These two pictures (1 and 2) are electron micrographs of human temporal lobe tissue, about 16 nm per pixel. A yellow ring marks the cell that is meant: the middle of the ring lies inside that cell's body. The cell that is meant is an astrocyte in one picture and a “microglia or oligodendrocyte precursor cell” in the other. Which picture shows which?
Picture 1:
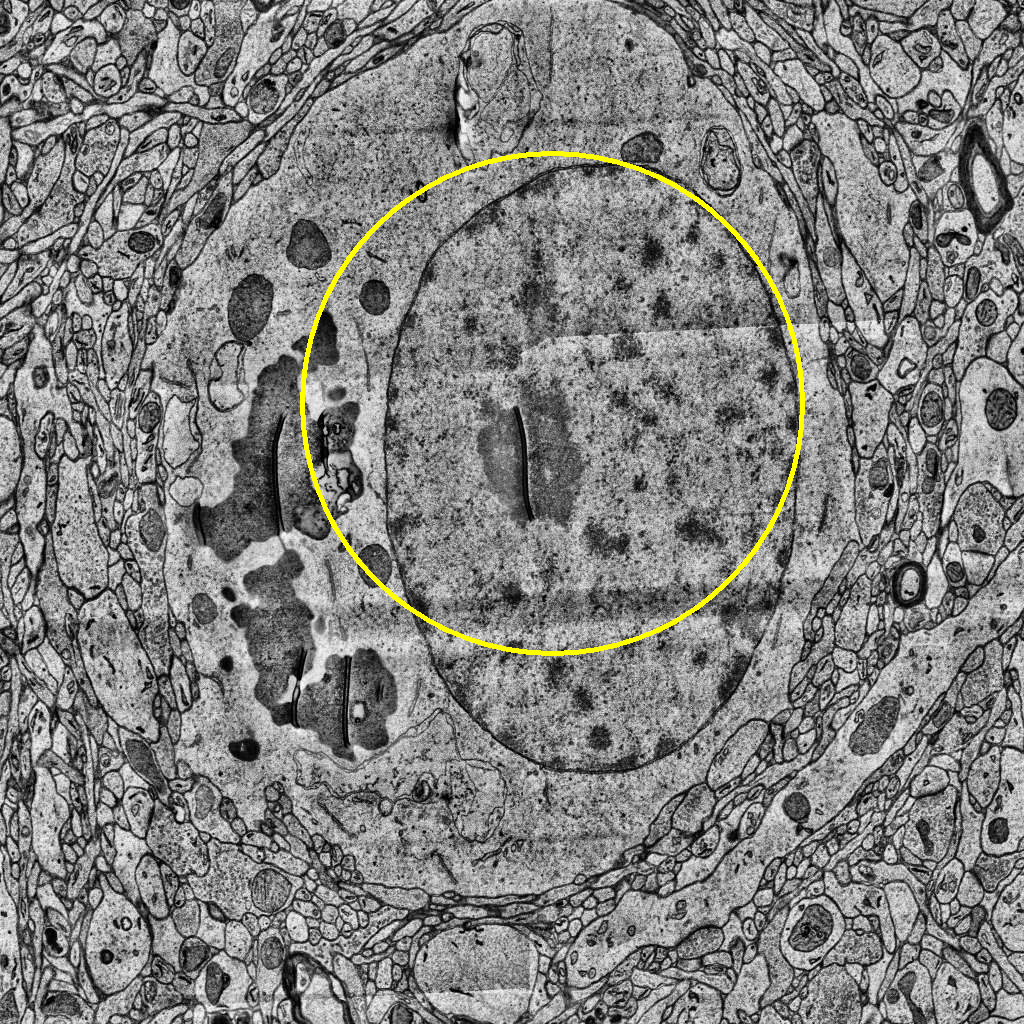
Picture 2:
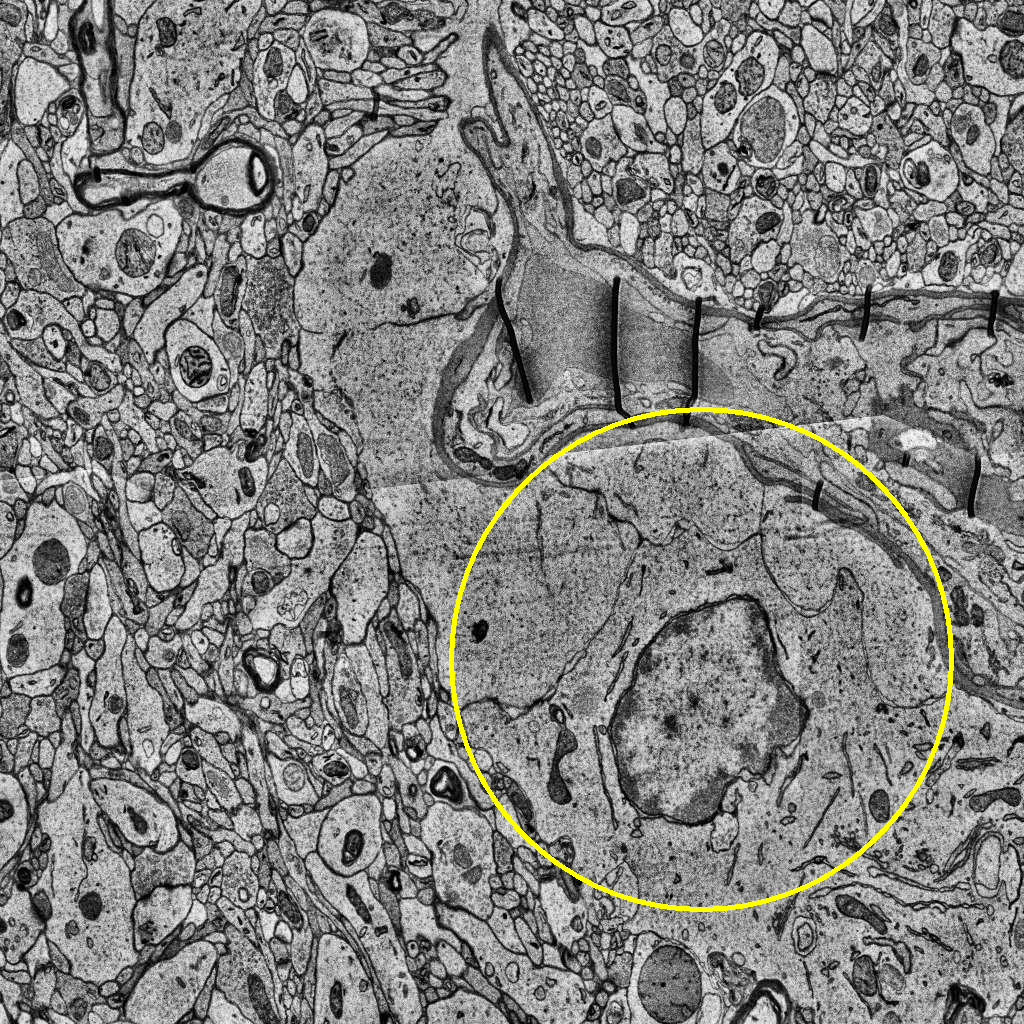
In picture 1 the cell is an astrocyte; in picture 2, a “microglia or oligodendrocyte precursor cell”.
